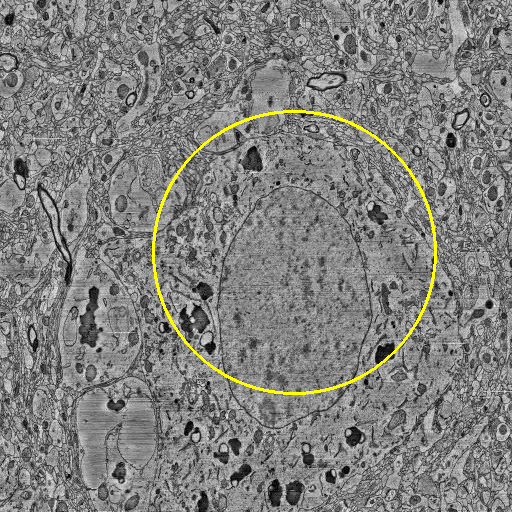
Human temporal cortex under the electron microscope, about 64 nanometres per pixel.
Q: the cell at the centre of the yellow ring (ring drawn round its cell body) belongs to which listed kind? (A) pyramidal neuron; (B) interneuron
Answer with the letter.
A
